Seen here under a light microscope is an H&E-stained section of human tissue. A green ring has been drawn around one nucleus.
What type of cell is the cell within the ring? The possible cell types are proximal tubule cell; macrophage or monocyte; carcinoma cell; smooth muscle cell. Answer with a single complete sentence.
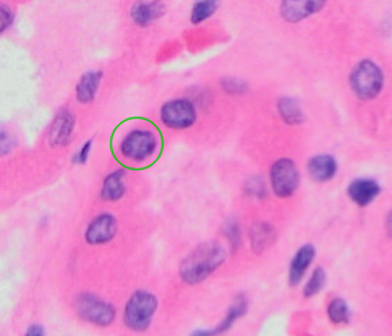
In the stained section, the cell within the ring is a proximal tubule cell.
